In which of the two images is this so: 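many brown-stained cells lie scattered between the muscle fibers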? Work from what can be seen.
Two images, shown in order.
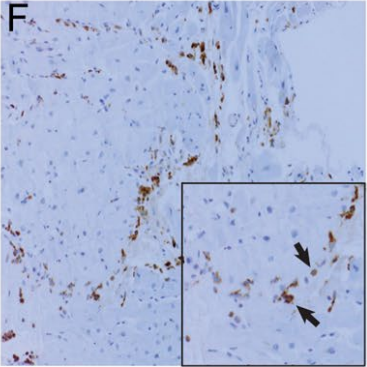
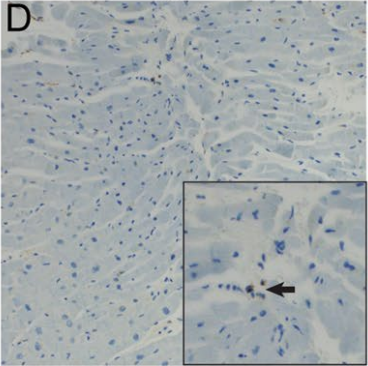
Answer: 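First image: numerous brown cells are scattered through the interstitium. Second image: the tissue is almost wholly blue, with only a rare brown cell in the inset.
Conclusion: the first image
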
